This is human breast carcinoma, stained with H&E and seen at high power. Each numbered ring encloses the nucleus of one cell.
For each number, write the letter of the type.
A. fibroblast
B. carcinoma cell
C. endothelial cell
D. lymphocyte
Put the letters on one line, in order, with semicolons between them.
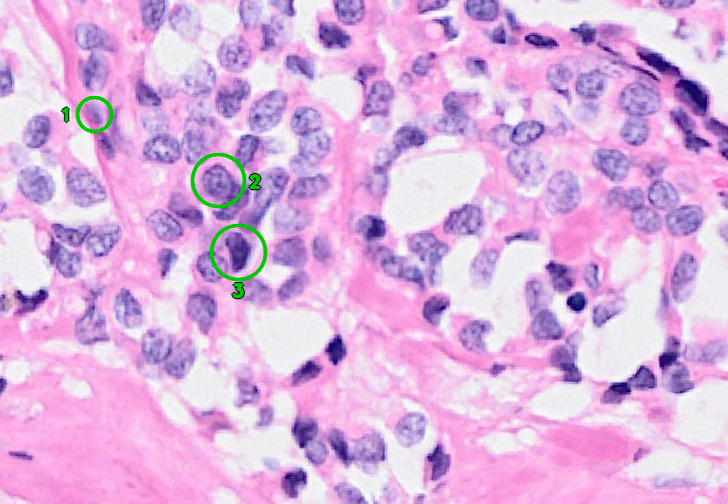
C; B; B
